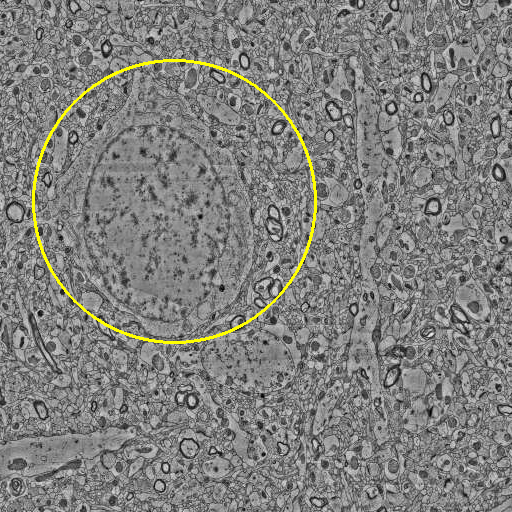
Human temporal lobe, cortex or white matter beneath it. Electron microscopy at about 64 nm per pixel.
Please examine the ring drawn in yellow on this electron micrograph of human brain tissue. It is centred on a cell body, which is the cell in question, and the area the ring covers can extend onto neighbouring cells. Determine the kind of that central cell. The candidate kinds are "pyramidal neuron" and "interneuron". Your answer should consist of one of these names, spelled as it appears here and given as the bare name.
interneuron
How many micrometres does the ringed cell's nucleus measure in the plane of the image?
In this plane the nucleus spans approximately 13 by 9 micrometers.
